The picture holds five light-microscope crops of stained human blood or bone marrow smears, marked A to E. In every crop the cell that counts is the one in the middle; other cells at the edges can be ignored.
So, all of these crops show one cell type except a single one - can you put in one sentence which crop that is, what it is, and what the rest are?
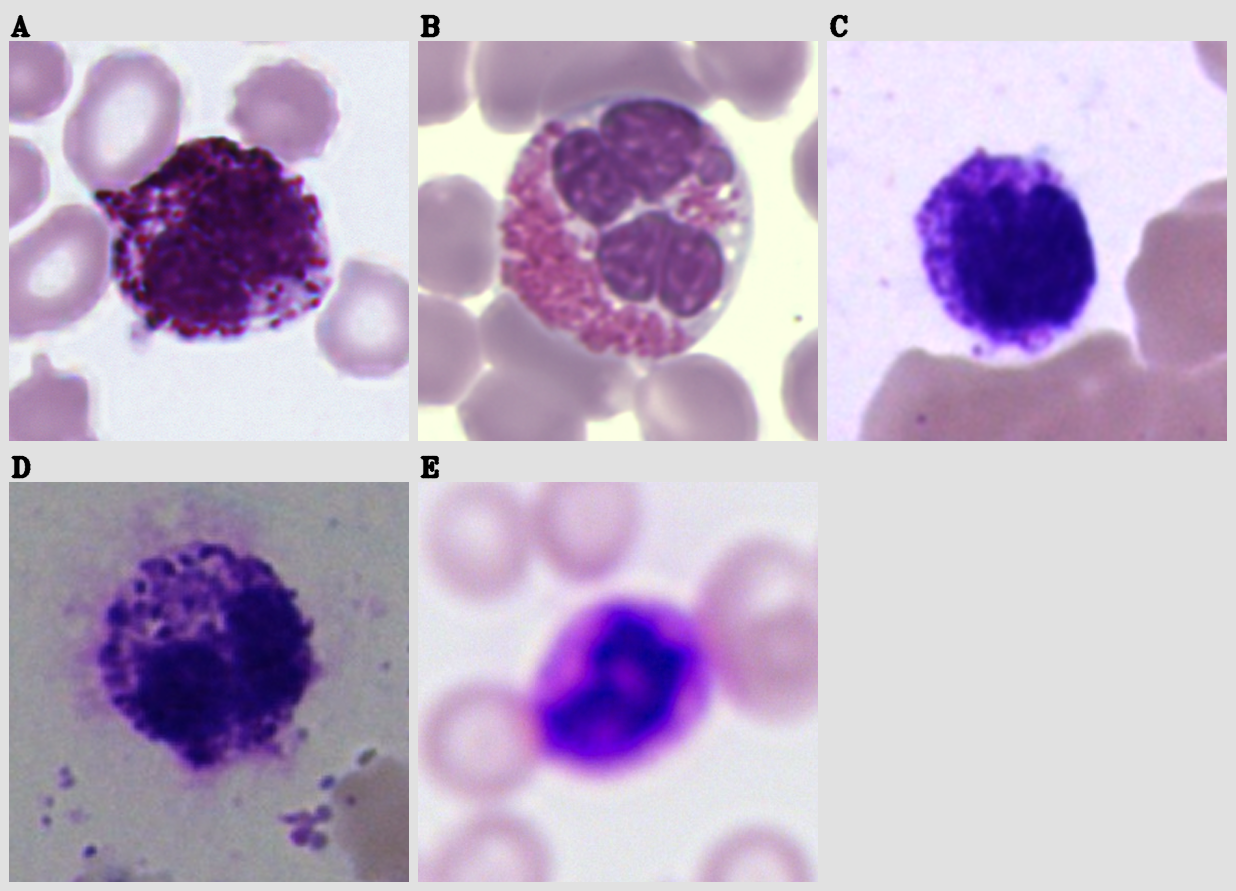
Unlike the other crops, all showing basophils, crop B is an eosinophil.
